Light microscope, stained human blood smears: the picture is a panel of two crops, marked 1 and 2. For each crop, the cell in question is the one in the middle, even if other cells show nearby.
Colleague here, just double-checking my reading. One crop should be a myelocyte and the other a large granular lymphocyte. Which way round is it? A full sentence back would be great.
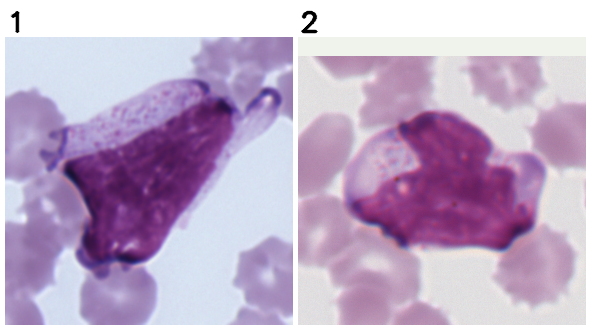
Crop 1 is classified as a myelocyte, and crop 2 as a large granular lymphocyte.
